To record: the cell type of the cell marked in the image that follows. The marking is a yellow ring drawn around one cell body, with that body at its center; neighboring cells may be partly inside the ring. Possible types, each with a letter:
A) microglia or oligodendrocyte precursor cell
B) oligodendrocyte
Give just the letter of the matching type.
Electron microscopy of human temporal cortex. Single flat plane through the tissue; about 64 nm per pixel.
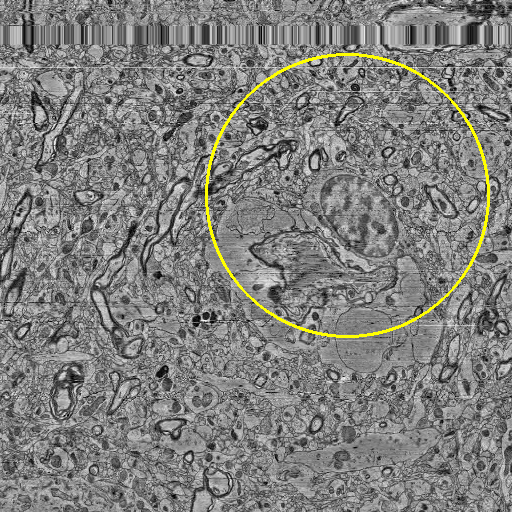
B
